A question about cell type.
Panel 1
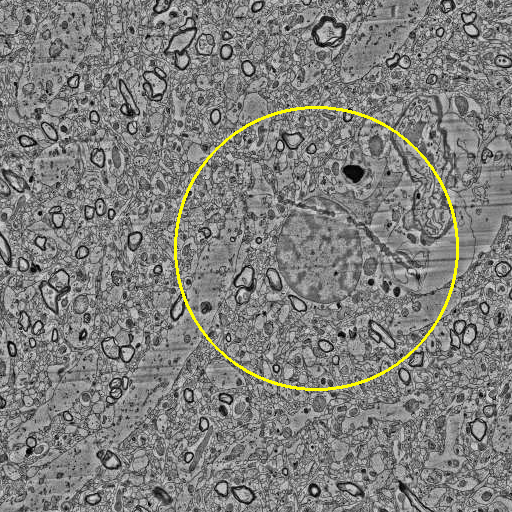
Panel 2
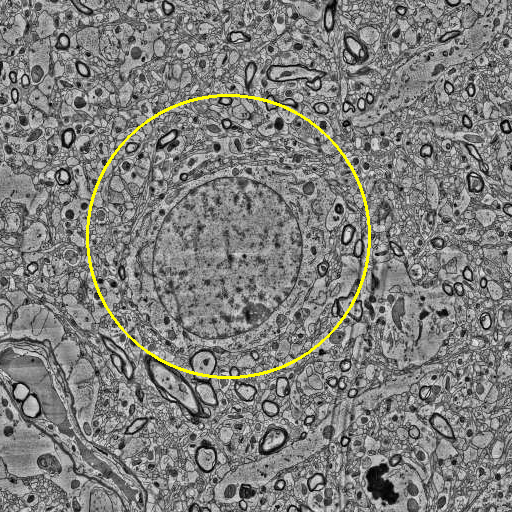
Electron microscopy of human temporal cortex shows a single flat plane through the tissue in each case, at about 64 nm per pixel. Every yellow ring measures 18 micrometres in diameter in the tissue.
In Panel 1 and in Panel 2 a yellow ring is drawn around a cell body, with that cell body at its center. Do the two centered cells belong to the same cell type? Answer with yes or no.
no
